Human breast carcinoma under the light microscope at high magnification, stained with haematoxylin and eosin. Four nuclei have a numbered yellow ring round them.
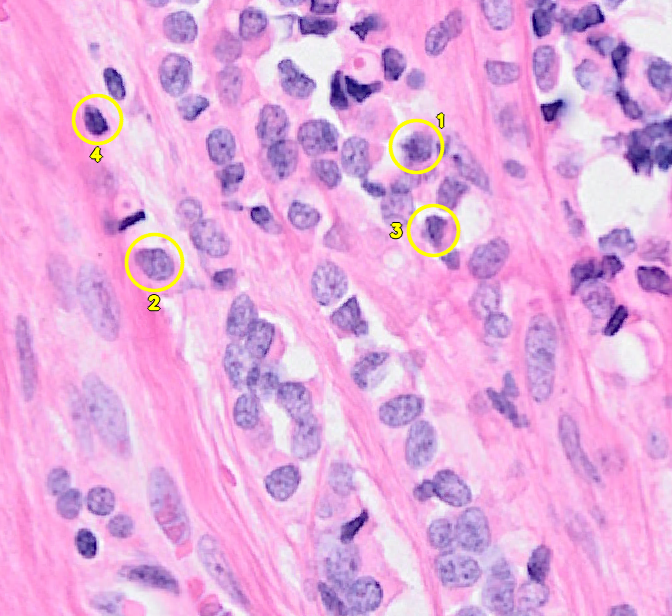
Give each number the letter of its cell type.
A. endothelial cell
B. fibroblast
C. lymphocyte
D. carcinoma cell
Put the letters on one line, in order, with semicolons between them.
D; D; D; C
